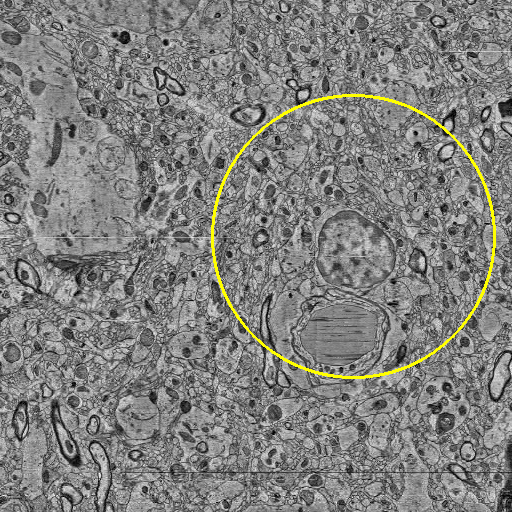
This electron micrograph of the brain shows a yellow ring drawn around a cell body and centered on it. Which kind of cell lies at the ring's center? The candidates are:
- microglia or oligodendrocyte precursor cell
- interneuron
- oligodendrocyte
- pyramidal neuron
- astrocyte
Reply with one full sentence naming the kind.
The cell lying at the ring's center in this micrograph is a microglial cell or oligodendrocyte precursor cell.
